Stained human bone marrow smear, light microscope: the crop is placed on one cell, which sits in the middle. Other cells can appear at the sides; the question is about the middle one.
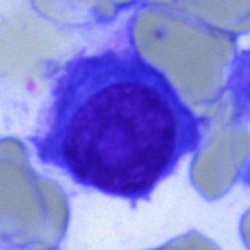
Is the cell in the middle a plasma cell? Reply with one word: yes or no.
yes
